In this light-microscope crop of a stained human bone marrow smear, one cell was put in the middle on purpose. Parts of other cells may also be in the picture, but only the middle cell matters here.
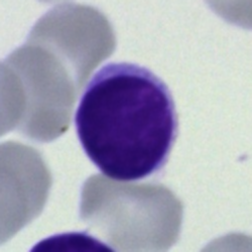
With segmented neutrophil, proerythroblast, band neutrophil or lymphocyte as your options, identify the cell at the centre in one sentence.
Here the cell in the middle is a lymphocyte.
